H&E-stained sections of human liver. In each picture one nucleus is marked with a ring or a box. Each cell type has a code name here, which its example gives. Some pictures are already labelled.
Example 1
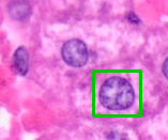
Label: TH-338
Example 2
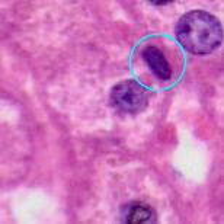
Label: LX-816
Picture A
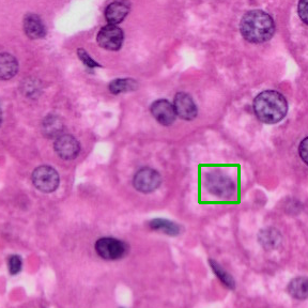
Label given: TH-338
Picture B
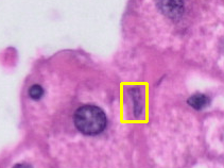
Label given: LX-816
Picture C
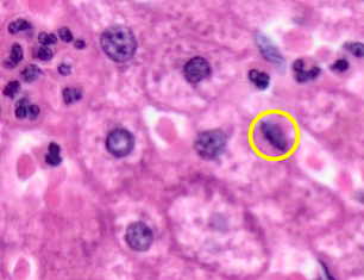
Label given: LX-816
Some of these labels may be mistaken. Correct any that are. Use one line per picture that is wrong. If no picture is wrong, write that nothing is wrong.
All correct.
